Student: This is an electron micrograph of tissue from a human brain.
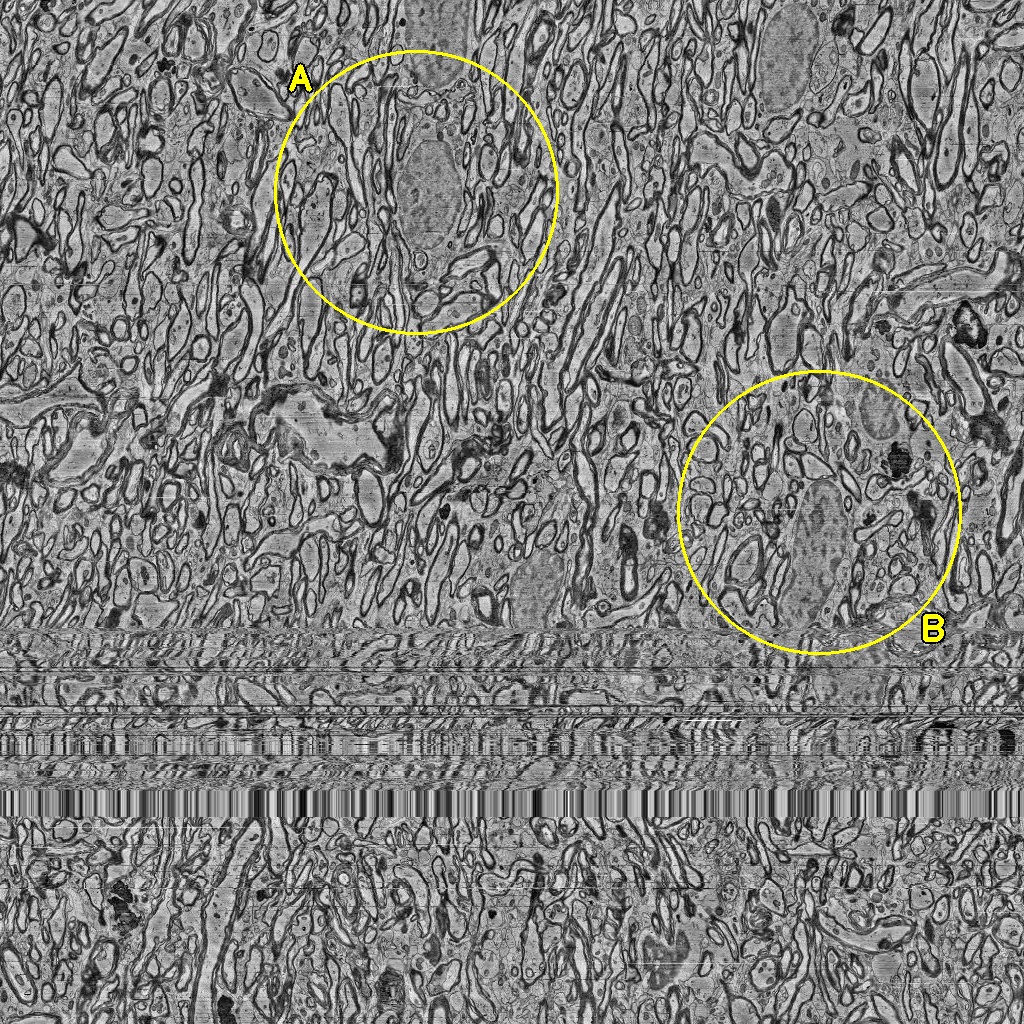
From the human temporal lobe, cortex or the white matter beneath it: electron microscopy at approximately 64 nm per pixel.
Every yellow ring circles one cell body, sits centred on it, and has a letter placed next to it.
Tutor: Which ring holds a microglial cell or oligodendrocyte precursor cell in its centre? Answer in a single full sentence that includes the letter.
Ring B is the ring whose centre holds the cell asked for in the picture.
